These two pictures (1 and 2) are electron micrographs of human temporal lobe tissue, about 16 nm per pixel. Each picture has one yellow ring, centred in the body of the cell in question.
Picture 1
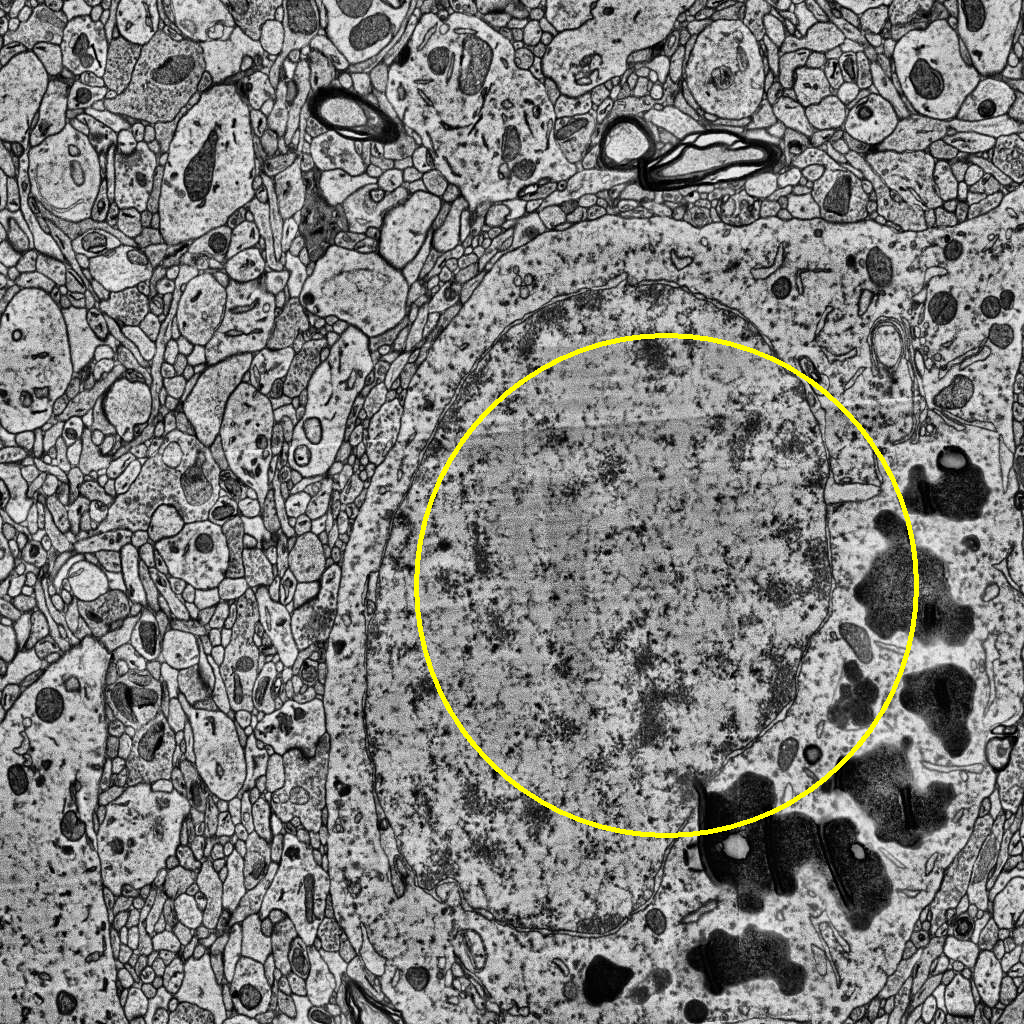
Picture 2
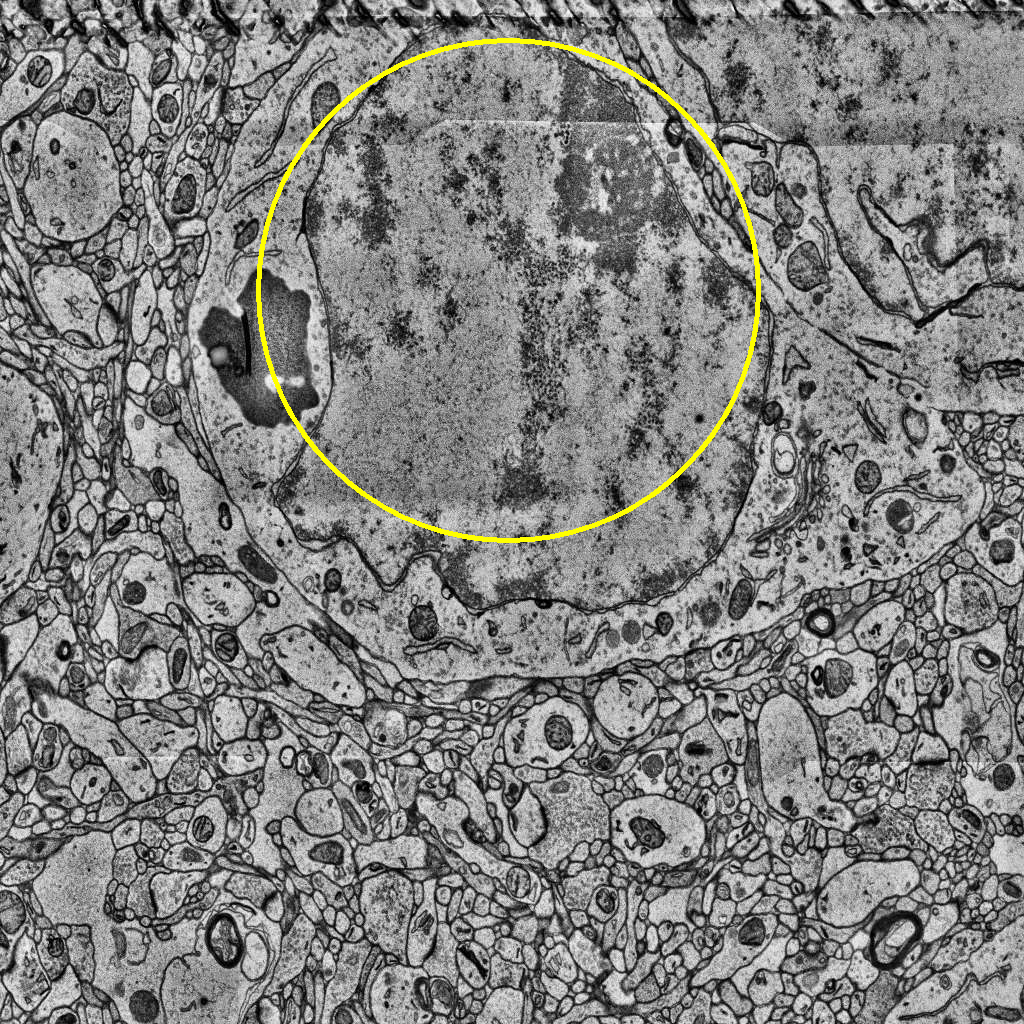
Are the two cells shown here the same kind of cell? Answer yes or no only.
yes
